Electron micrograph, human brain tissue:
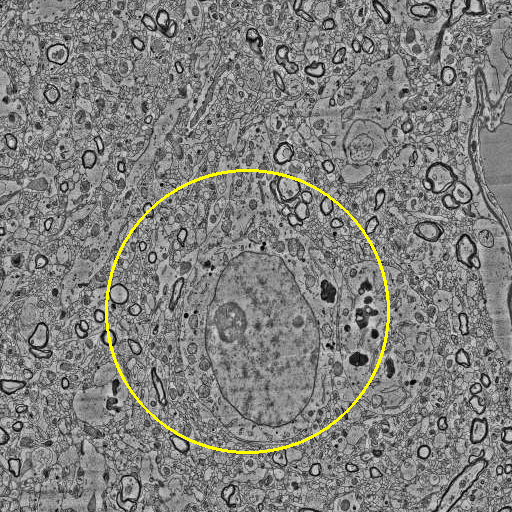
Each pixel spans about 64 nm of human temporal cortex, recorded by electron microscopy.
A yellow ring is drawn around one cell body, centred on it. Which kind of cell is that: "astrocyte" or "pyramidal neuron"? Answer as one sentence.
It is a pyramidal neuron at the centre of the ring.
